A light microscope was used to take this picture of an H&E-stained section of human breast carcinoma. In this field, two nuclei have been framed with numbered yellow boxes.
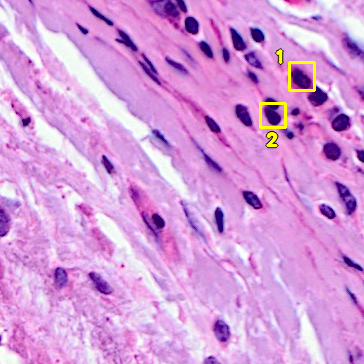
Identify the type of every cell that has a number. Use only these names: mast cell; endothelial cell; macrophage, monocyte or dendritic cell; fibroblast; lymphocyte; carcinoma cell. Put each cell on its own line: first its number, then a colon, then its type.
1: mast cell
2: lymphocyte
